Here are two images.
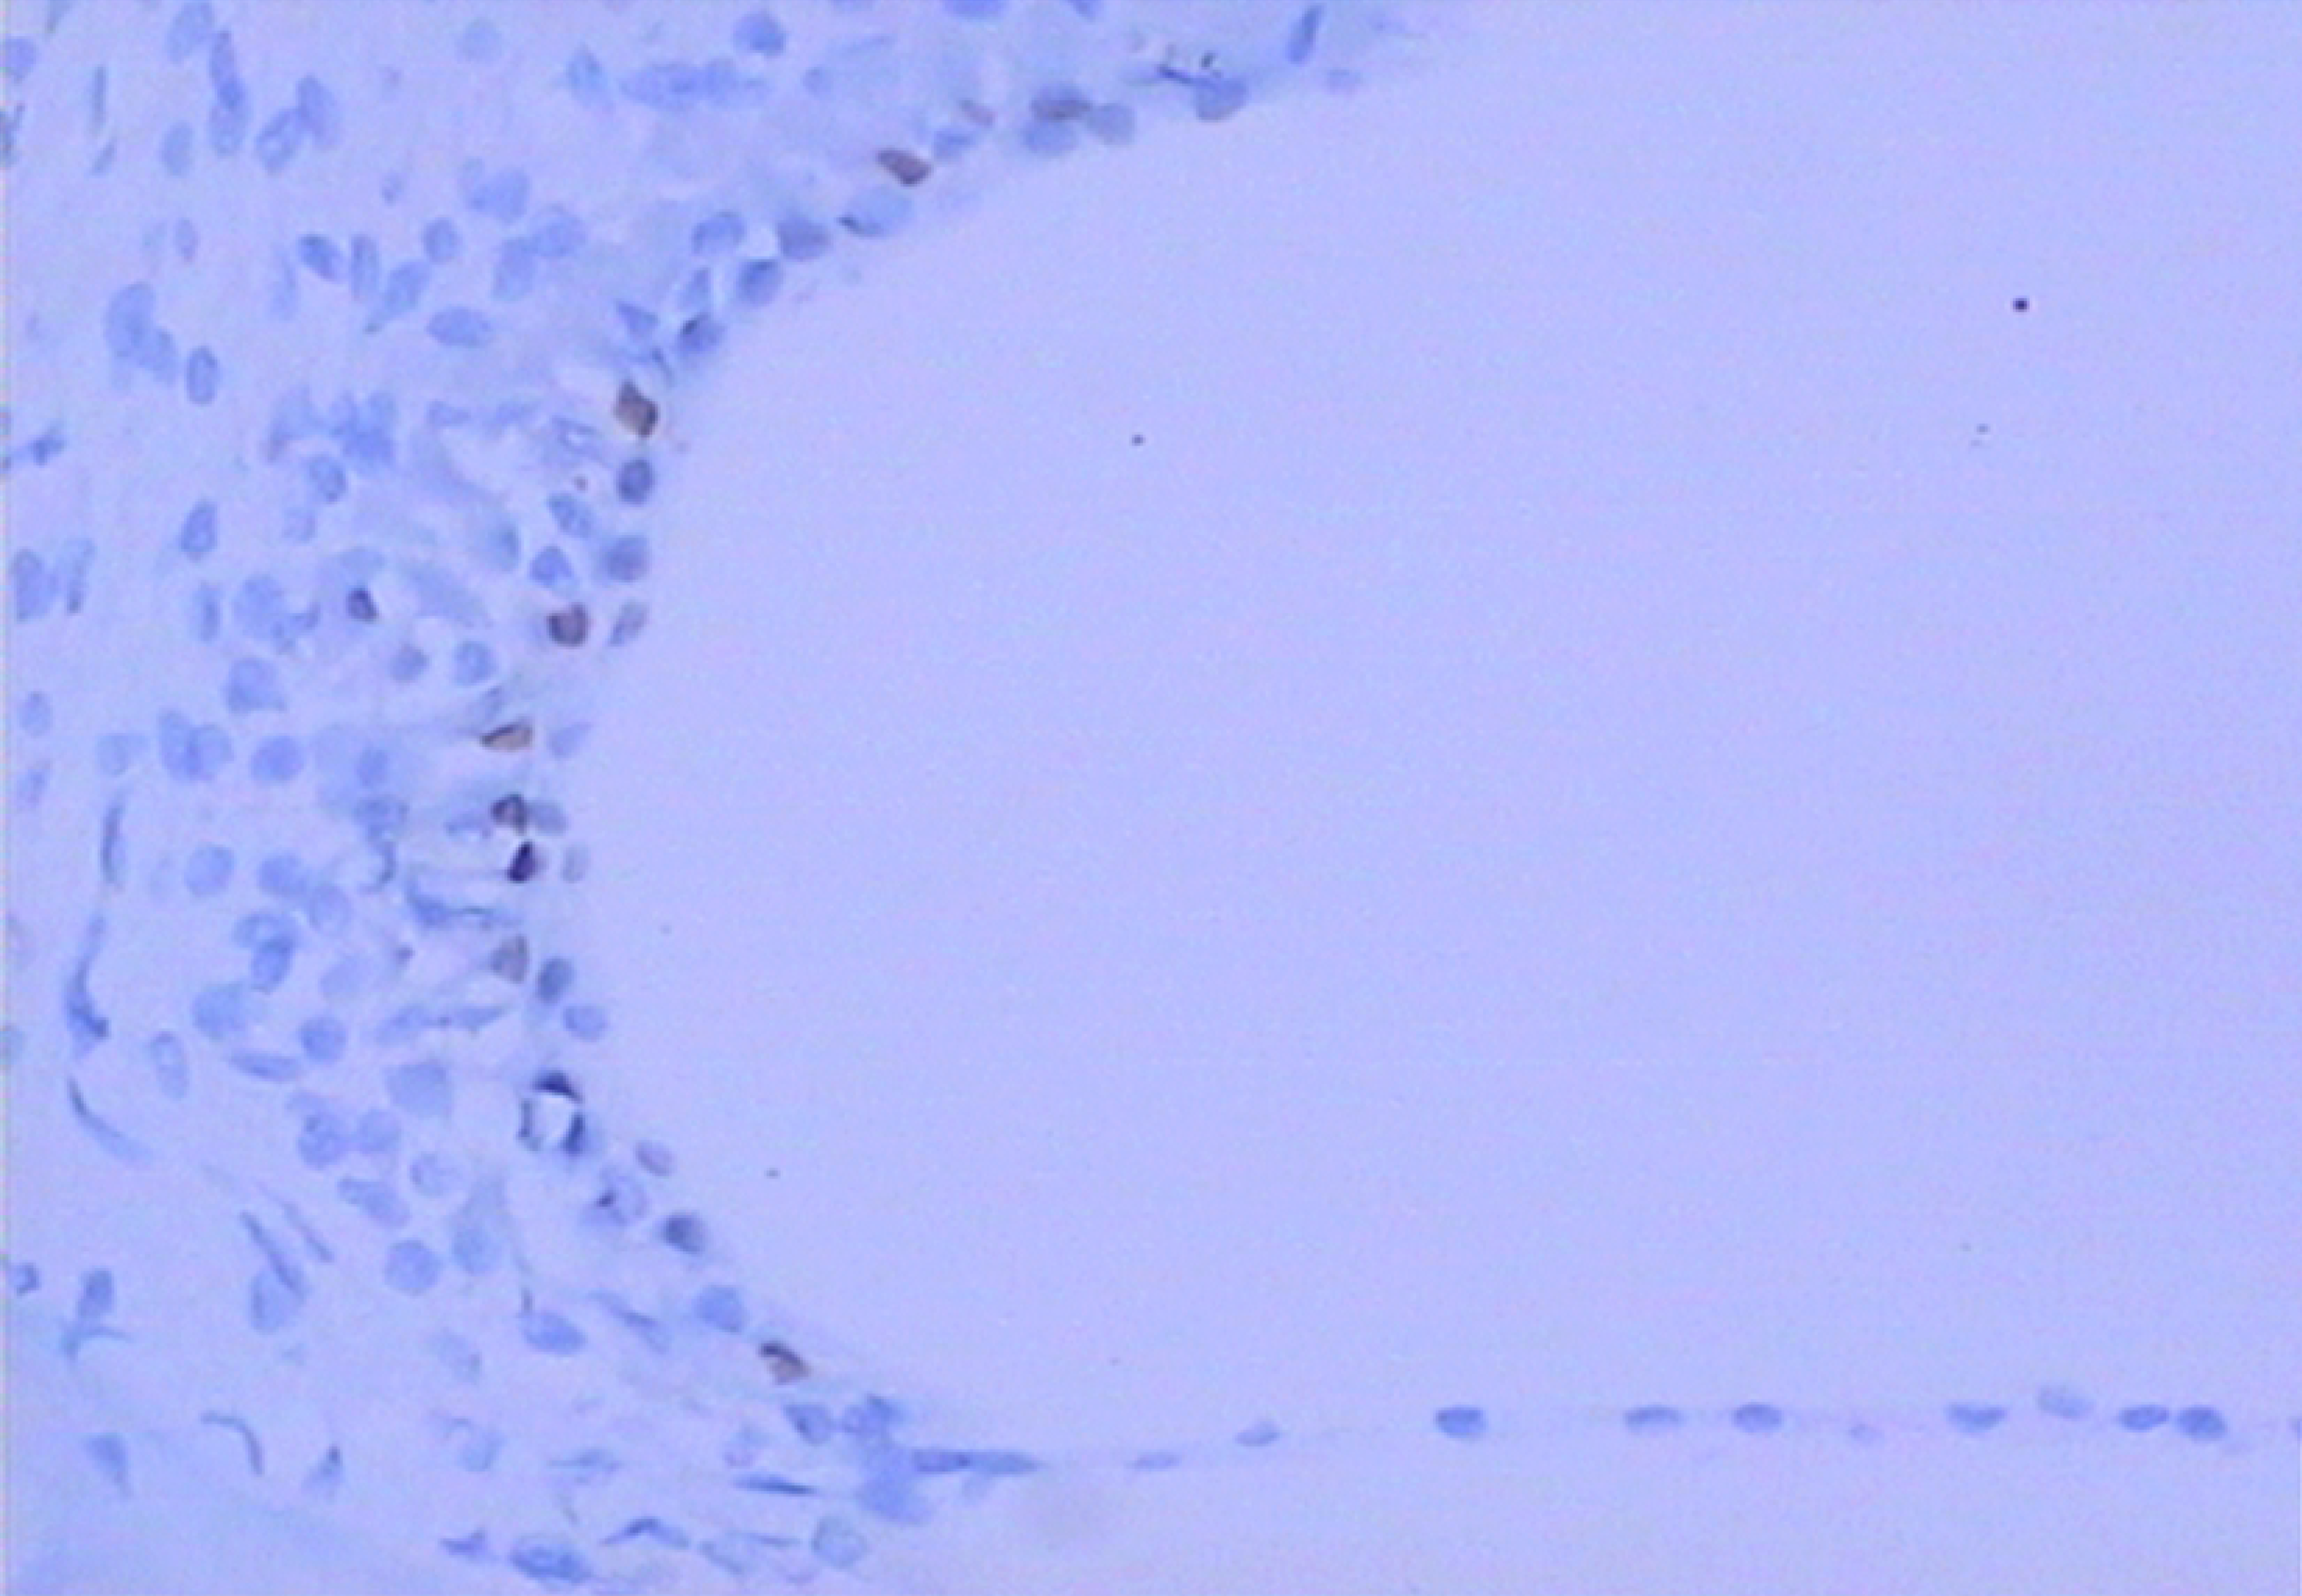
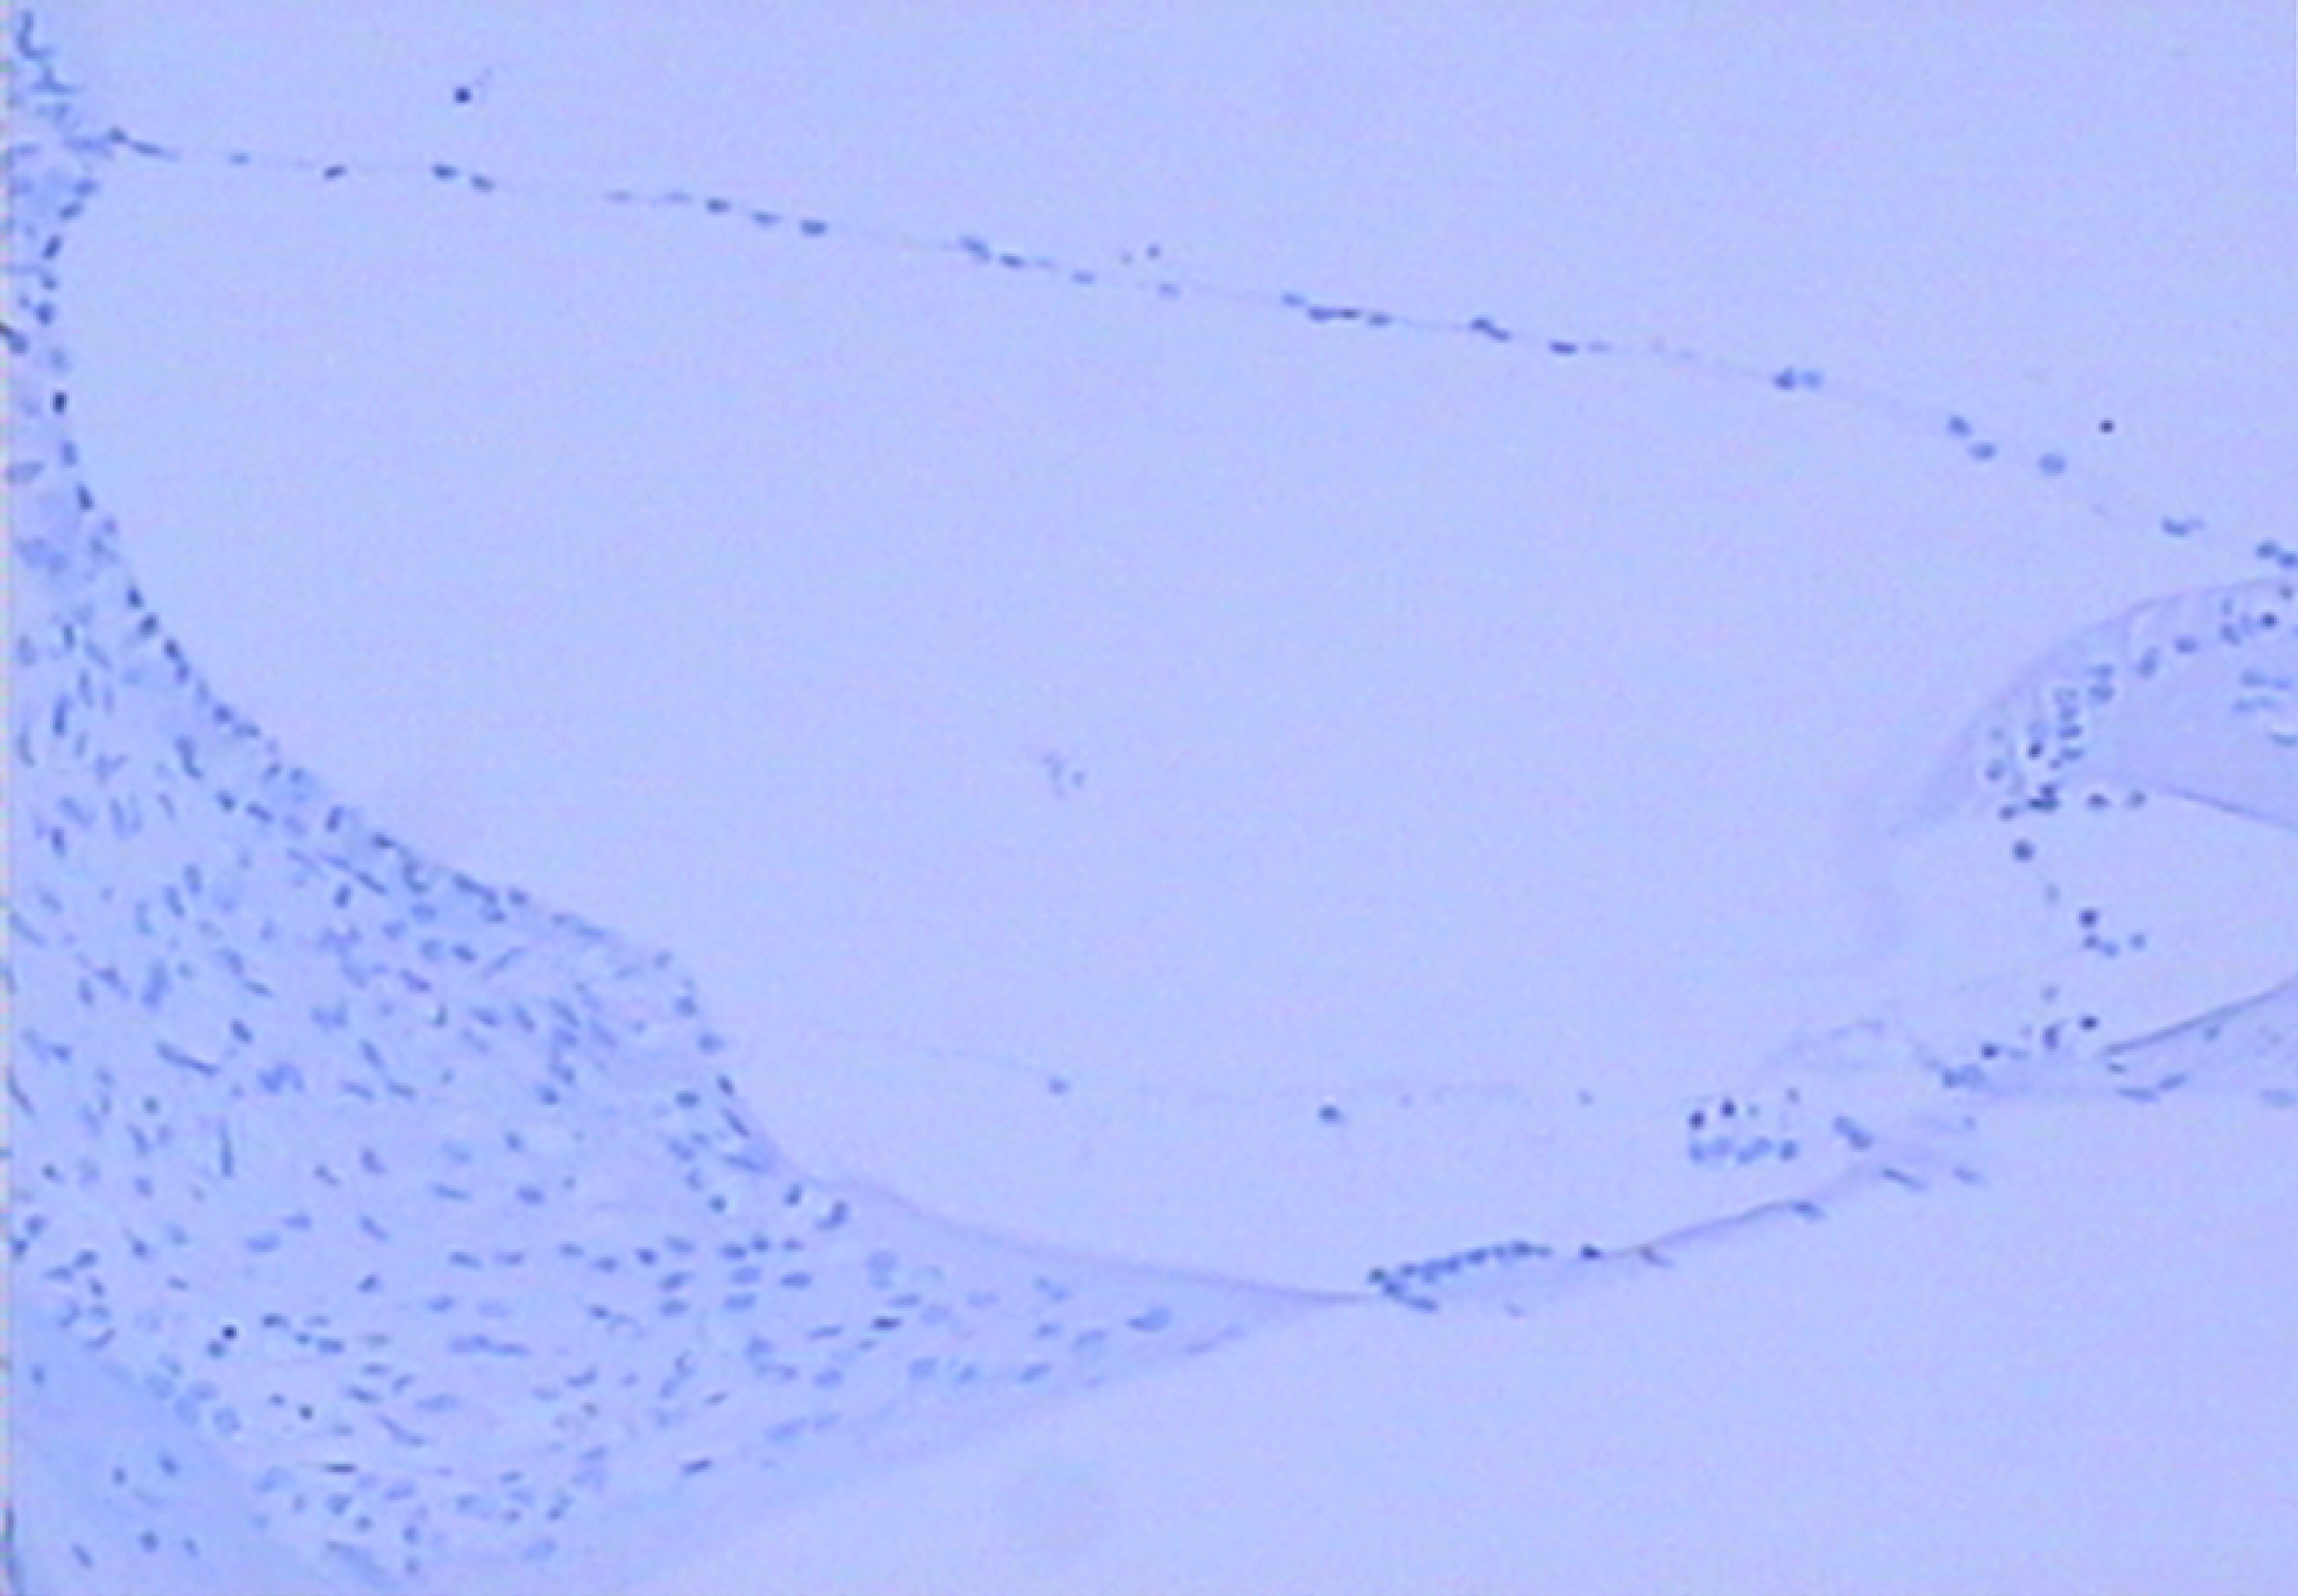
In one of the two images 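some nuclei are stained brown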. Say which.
The first image.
